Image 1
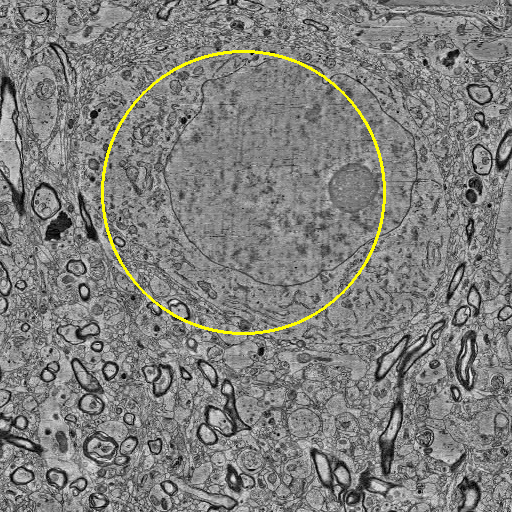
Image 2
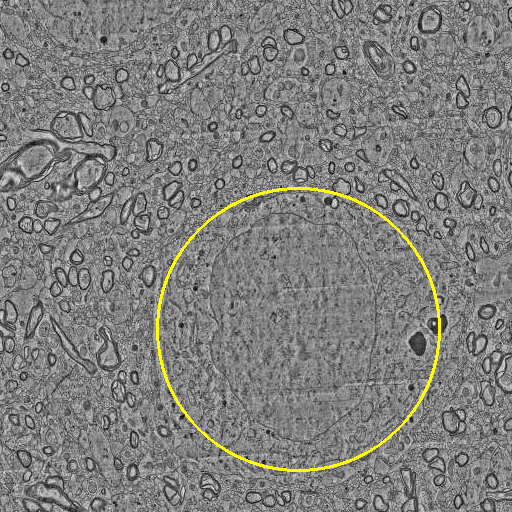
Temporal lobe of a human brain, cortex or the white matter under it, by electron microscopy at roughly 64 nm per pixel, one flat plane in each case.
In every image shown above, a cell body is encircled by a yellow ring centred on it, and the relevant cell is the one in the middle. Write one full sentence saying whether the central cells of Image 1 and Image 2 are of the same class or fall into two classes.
The cell at the ring's centre in Image 1 and its counterpart in Image 2 are of the same class.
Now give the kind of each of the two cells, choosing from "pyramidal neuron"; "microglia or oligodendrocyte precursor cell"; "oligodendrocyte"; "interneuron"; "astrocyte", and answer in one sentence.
Both rings mark a pyramidal neuron, one in each picture.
